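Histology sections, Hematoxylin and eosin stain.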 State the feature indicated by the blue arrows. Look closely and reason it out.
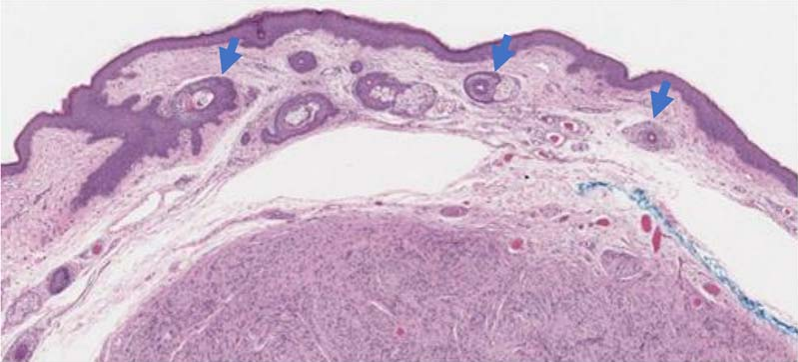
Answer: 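The arrows point to round or oval profiles in the dermis just beneath the epidermis. Each profile has concentric layers of purple epithelial cells around a small central core. Several similar profiles lie side by side in a row along the dermis. The answer: transections of horizontal hair follicles.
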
